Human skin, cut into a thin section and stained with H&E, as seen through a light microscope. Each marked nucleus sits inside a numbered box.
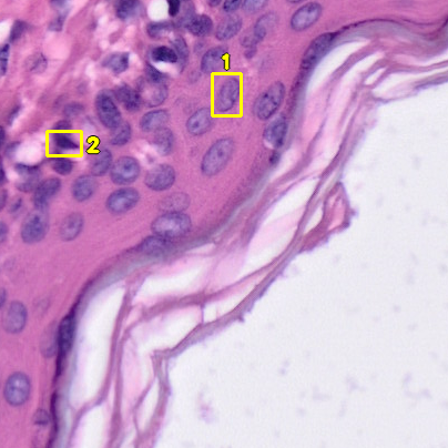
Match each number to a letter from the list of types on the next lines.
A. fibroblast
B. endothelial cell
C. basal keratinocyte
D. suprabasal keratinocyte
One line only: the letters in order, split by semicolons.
D; C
